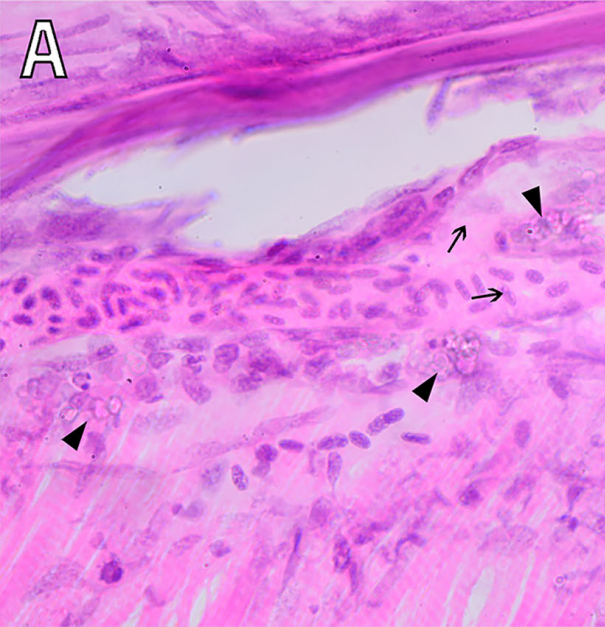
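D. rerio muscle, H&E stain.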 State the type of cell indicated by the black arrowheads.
Macrophages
